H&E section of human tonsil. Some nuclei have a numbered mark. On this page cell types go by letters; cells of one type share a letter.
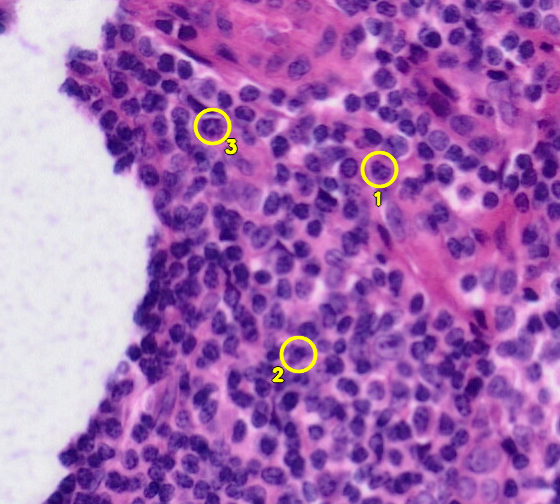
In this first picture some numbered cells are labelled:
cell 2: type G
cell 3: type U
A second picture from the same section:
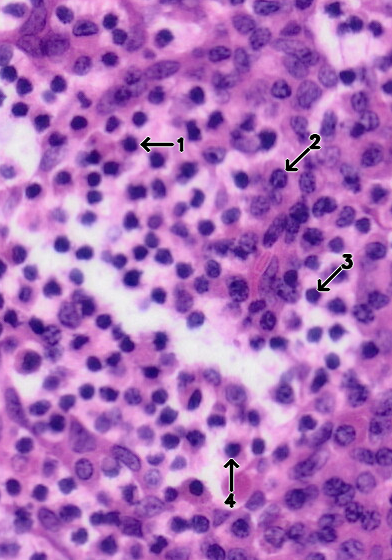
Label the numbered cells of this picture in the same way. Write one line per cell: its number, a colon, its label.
1: type U
2: type U
3: type G
4: type U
